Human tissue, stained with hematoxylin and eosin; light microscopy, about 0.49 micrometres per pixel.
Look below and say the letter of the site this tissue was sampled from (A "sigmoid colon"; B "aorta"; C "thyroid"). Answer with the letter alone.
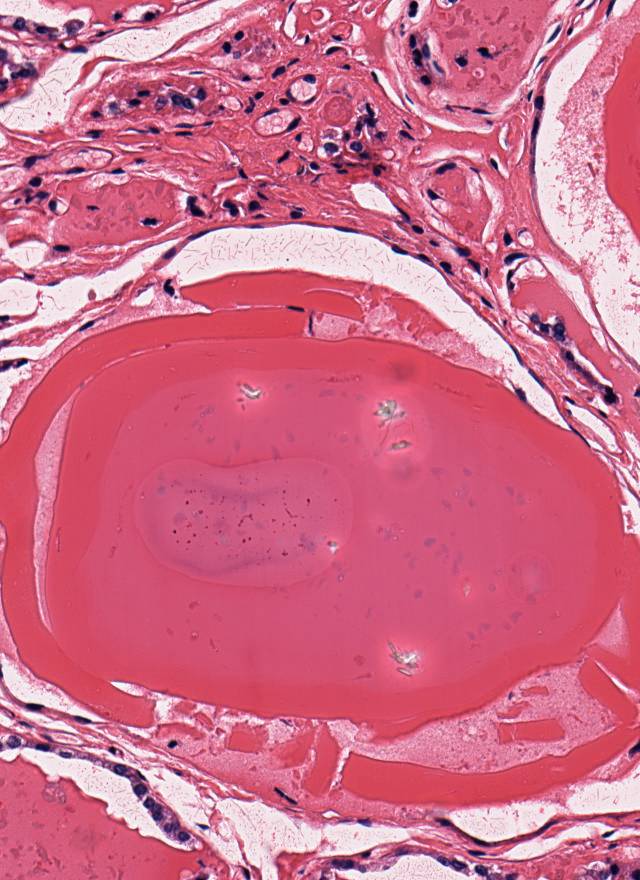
C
